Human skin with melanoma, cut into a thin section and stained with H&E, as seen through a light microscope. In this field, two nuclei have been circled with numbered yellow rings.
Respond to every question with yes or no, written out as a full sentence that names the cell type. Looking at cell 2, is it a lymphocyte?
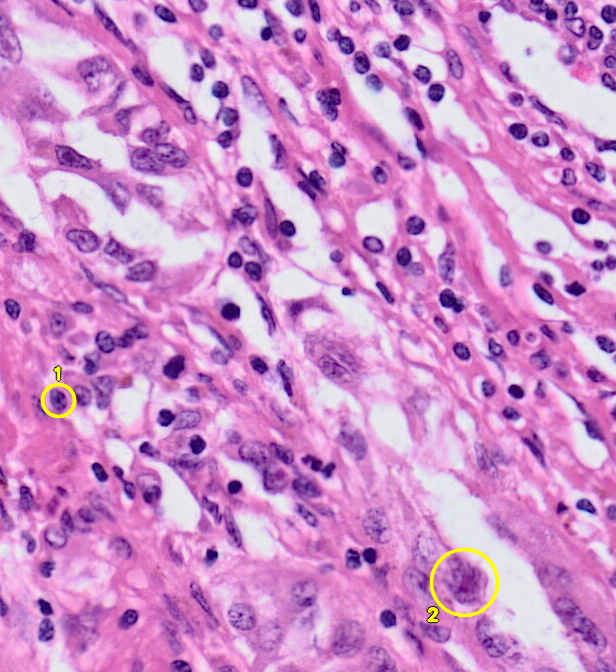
No, cell 2 is not a lymphocyte; a melanoma cell is the correct identification.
